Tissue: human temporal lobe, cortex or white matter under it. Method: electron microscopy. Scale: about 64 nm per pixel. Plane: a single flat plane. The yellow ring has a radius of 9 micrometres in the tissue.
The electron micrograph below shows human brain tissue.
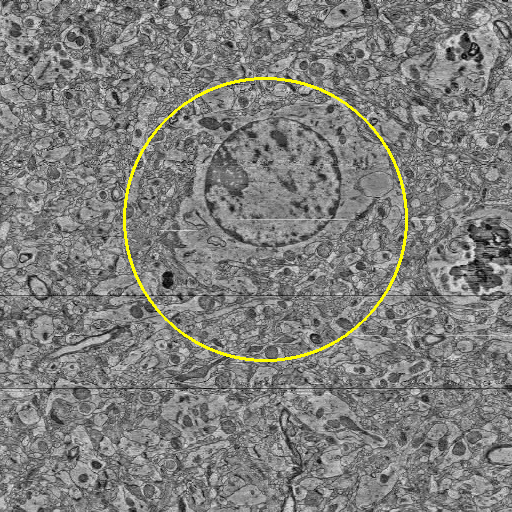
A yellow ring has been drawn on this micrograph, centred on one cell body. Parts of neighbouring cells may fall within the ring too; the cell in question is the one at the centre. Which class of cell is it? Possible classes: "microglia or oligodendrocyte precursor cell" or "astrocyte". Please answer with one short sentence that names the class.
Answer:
In the centre of the ring sits an astrocyte.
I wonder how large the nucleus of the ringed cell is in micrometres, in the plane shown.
In this plane, roughly 9 micrometres across.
